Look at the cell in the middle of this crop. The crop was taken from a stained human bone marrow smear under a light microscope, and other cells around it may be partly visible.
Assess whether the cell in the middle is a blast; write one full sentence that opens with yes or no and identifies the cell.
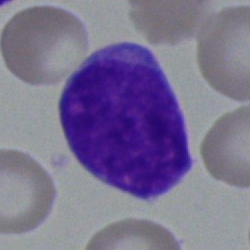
Yes, the cell at the middle is a blast.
